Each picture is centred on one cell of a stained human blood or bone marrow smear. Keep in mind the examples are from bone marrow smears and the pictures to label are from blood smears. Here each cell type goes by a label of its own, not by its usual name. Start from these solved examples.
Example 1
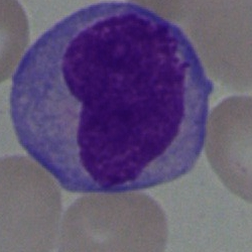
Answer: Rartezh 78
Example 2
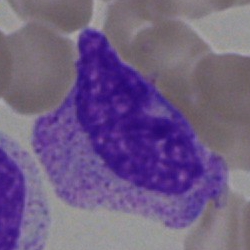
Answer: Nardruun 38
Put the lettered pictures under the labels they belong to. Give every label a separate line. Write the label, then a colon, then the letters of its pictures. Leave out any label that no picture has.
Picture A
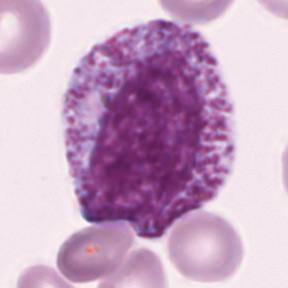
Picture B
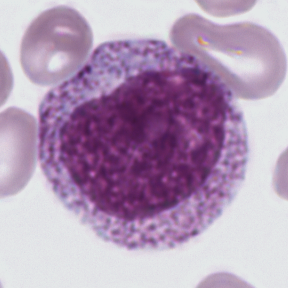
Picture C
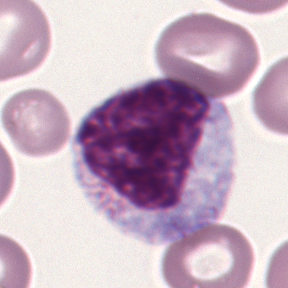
Nardruun 38: A, B, C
